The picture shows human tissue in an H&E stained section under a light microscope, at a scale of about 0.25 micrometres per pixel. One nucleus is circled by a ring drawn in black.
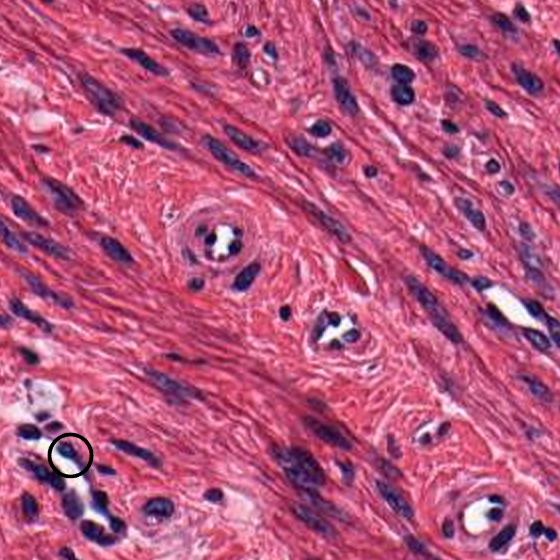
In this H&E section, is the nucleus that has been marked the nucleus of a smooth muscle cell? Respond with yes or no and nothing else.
no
